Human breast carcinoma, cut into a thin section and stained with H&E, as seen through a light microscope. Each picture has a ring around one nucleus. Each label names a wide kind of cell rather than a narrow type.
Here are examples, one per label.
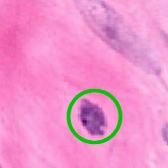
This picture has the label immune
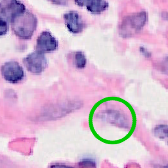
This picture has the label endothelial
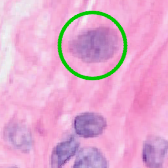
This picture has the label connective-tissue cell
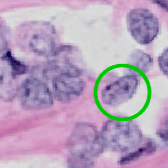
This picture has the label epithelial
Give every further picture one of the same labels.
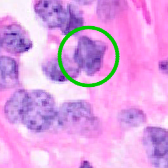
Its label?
epithelial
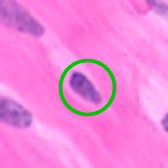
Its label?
immune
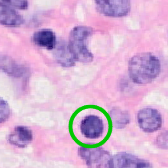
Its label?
immune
